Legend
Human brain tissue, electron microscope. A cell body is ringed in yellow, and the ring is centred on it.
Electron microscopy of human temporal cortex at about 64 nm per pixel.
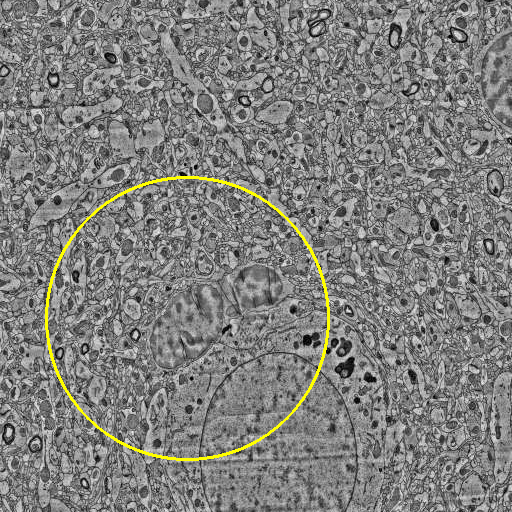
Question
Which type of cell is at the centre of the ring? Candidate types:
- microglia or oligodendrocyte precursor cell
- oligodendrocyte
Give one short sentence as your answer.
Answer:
The yellow ring is centred here on an oligodendrocyte.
